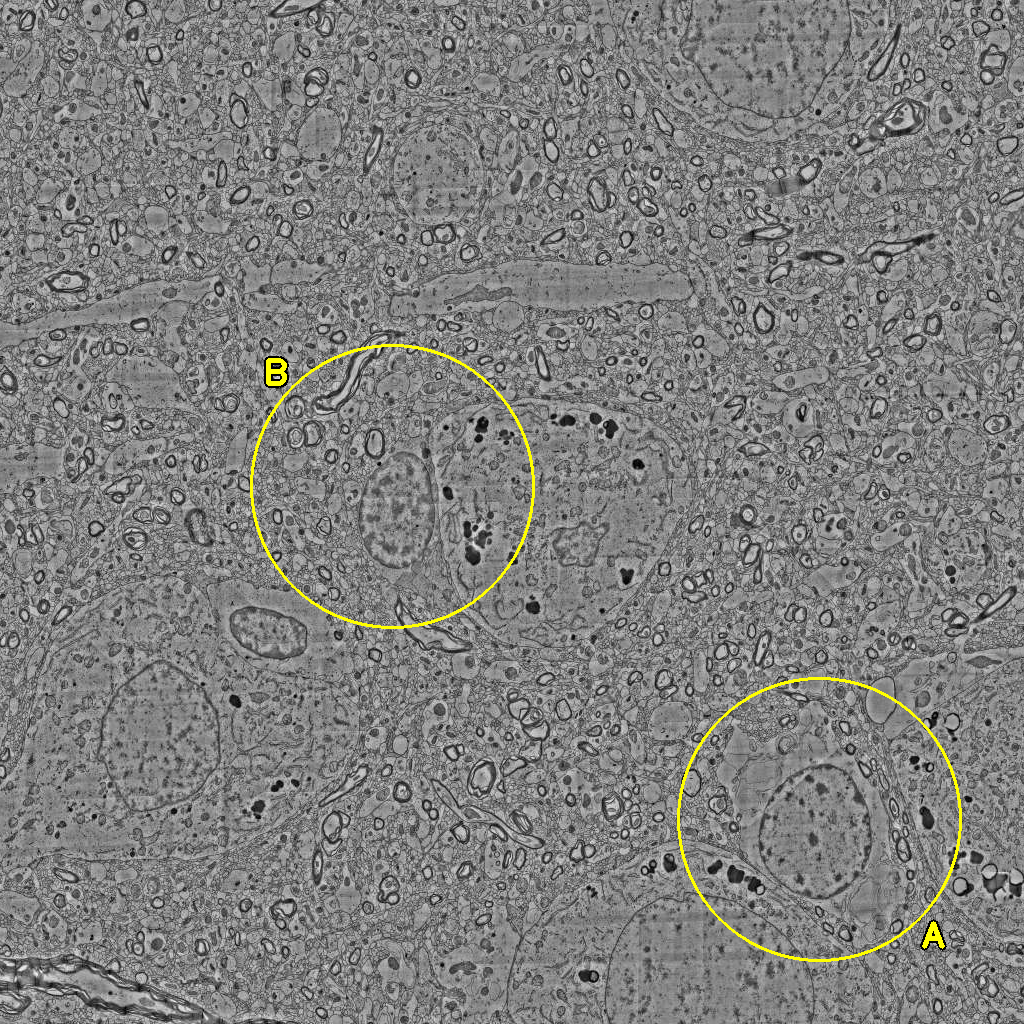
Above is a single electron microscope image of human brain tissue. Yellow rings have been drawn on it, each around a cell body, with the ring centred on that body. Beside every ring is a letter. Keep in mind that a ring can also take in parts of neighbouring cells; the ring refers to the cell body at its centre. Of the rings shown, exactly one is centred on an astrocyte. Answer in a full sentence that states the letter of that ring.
The cell at the centre of ring A is the one asked for.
